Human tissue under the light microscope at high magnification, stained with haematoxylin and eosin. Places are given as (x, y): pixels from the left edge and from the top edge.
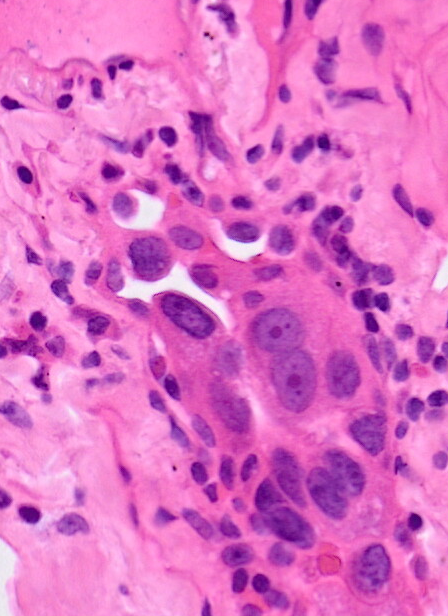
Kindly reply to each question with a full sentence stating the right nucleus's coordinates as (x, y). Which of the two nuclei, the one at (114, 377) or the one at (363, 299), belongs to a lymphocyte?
Of the two, the nucleus at (363, 299) is the one contained in a lymphocyte.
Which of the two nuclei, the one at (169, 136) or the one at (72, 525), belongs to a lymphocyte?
The nucleus whose position is (169, 136) belongs to a lymphocyte.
